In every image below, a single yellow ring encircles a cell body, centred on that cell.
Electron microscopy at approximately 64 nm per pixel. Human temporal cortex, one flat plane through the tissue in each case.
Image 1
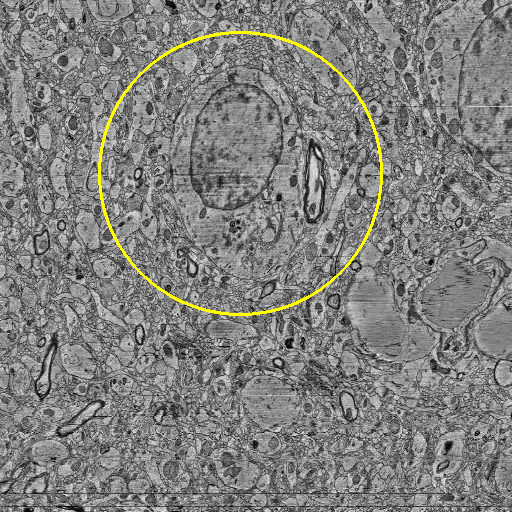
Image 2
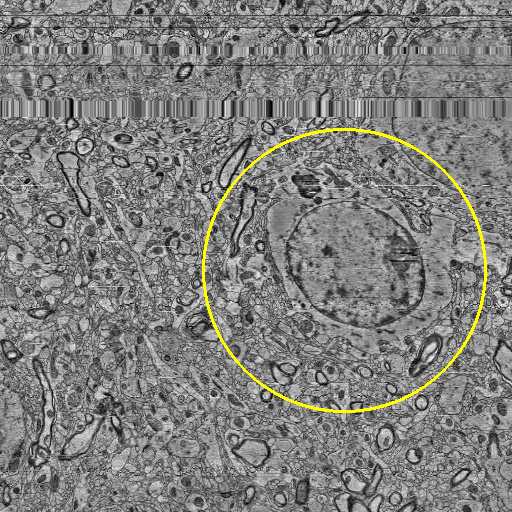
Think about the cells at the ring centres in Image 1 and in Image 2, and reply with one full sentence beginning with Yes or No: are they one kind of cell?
No, the cells centred in the rings of Image 1 and Image 2 are two kinds of cell.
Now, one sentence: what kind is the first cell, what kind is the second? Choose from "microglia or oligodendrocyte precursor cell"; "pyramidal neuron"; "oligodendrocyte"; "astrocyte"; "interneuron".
The first picture has a pyramidal neuron at its ring centre, and the second has an astrocyte.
